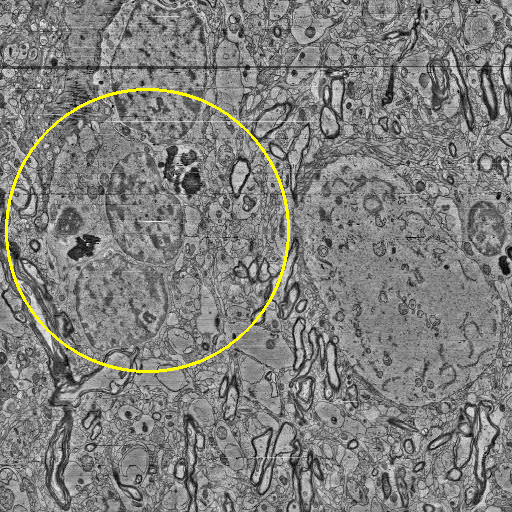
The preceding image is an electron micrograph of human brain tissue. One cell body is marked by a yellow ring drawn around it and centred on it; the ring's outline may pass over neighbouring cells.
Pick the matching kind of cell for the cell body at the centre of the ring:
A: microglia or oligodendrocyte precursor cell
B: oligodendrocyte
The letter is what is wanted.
B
